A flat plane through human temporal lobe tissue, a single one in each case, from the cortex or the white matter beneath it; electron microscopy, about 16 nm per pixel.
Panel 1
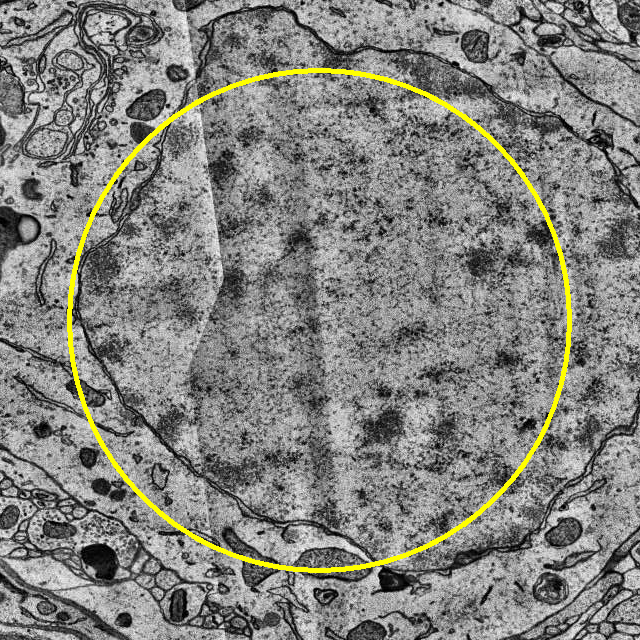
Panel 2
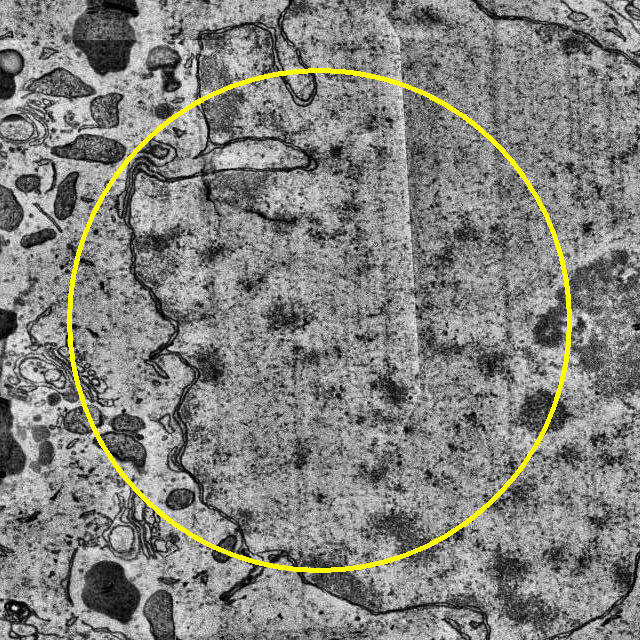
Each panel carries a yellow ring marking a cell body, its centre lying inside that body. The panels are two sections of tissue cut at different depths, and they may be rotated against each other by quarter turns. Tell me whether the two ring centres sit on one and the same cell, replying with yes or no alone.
yes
